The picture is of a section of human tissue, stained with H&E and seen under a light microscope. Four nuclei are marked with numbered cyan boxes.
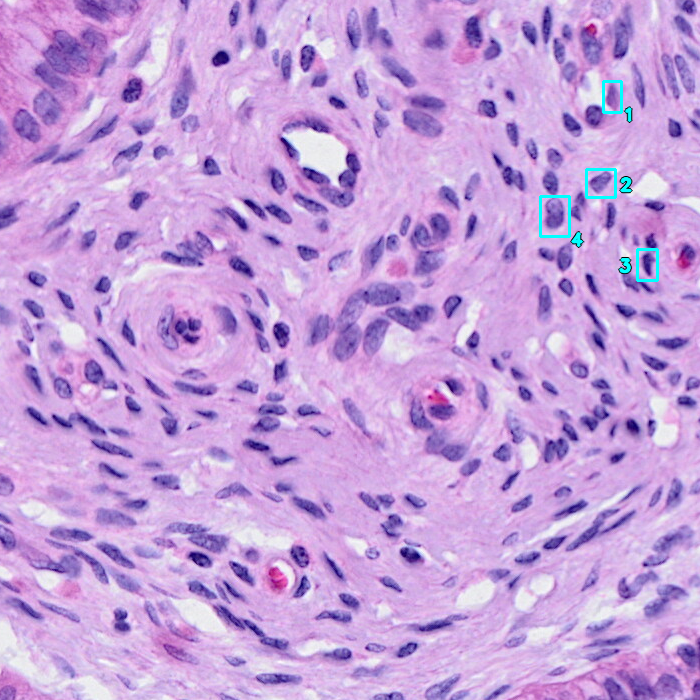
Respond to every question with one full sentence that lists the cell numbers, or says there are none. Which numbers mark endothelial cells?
Only number 1 is an endothelial cell; none of the others are.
